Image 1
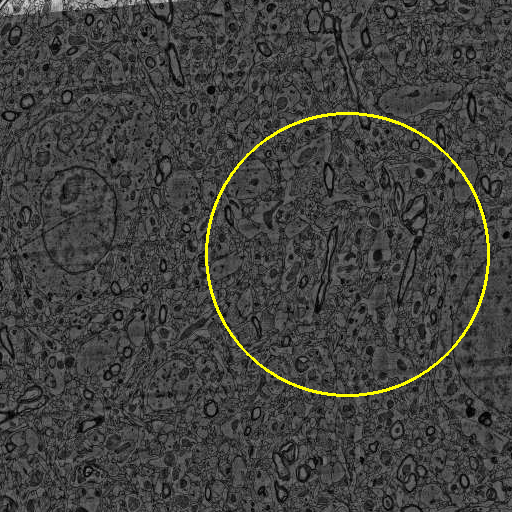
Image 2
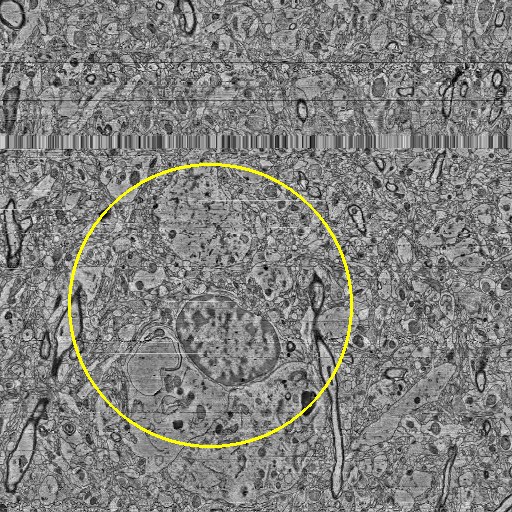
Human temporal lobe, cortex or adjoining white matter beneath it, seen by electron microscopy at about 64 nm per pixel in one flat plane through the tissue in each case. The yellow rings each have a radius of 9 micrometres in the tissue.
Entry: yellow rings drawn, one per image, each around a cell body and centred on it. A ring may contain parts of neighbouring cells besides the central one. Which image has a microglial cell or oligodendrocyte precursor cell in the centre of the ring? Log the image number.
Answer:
2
